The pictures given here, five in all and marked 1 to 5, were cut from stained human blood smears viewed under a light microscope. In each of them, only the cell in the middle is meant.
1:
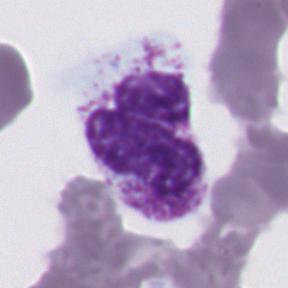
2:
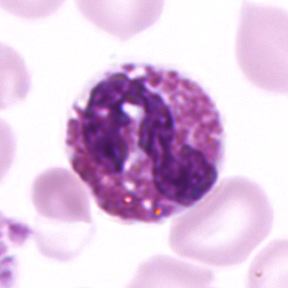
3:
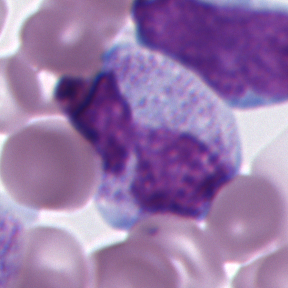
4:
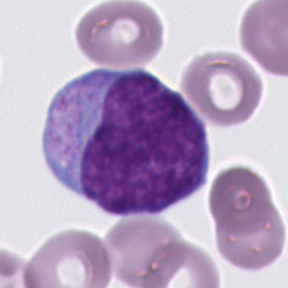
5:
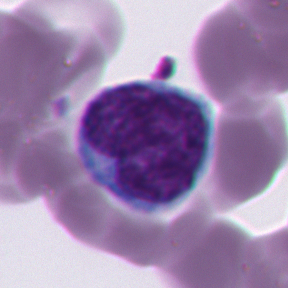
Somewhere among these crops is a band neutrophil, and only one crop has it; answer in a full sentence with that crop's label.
Crop 3, of the crops presented, is the one showing a band neutrophil.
